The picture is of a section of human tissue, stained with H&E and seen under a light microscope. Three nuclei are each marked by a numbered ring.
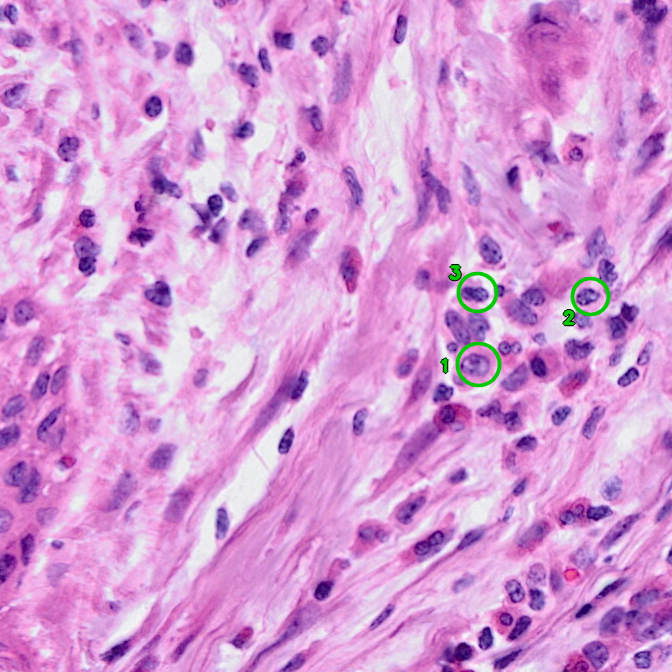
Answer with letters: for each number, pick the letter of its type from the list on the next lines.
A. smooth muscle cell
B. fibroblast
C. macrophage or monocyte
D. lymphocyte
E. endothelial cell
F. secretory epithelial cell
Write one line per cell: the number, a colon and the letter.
1: C
2: D
3: D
